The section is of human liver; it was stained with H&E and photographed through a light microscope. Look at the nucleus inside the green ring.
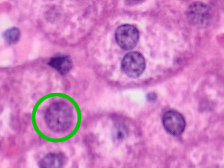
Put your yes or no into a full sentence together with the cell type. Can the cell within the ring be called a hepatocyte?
Yes, to name the cell within the ring a hepatocyte is correct.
